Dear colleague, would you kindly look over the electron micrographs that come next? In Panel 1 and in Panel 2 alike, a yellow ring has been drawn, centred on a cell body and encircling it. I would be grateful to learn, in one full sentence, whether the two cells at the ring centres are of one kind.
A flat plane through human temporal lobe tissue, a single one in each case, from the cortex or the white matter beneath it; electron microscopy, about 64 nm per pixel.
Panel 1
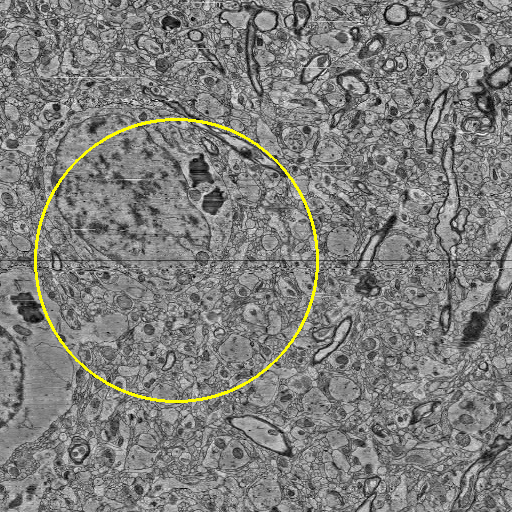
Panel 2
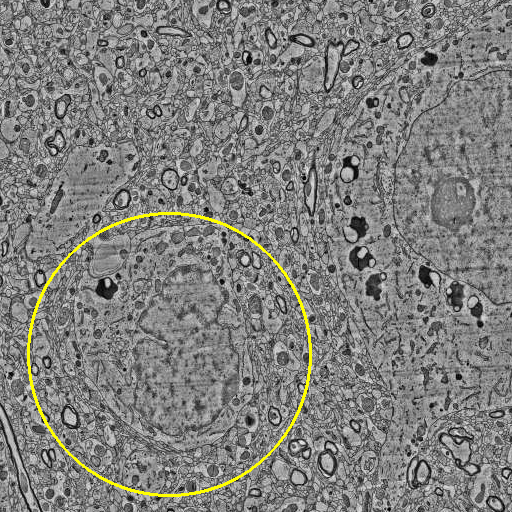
Yes, the cells in the middle of the rings in the two panels are of one kind.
